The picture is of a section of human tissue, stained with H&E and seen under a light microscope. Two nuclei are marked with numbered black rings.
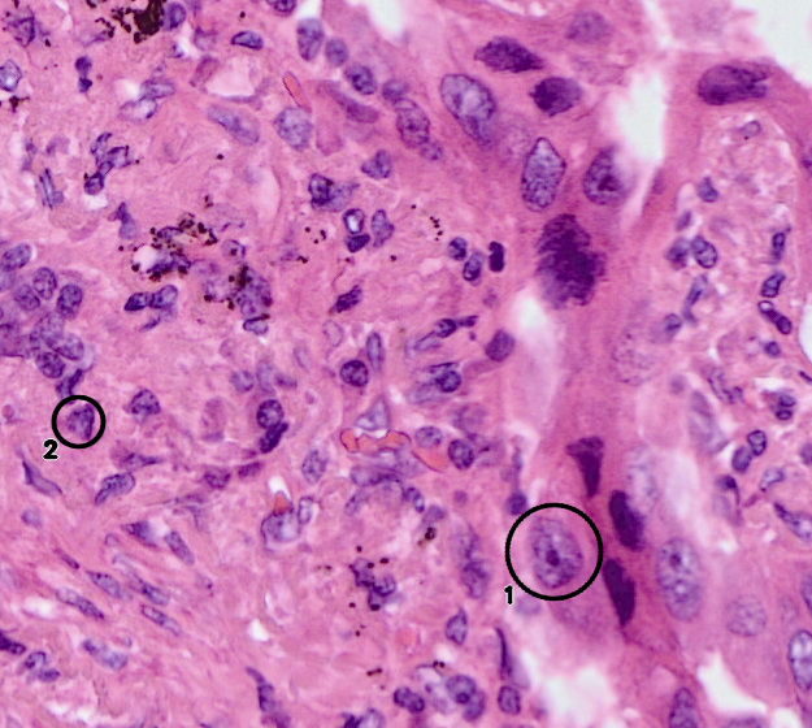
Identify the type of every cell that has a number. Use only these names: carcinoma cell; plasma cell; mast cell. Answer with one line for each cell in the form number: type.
1: carcinoma cell
2: plasma cell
